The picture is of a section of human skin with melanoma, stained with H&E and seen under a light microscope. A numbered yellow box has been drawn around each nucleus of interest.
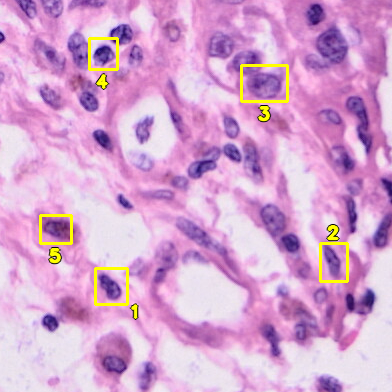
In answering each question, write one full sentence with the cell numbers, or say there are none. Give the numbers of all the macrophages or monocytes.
The cells the numbers 2 and 5 point to are macrophages or monocytes.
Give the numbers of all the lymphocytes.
Marked by the numbers 1 and 4 are cells that are lymphocytes.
